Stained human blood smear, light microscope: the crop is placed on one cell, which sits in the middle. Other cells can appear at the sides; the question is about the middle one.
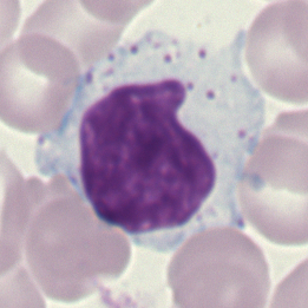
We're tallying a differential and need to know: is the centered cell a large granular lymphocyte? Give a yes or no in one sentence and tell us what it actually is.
Yes, the cell in the middle is rightly called a large granular lymphocyte.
